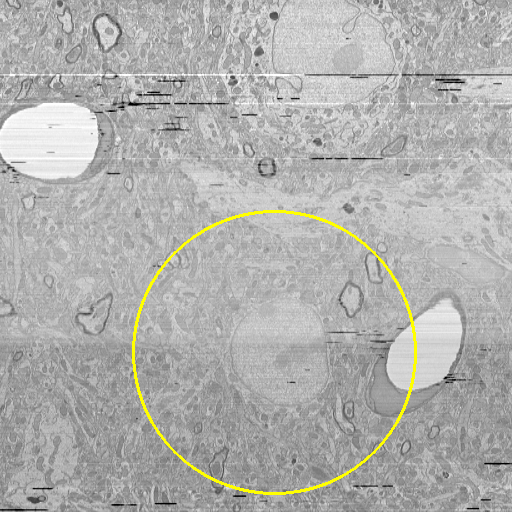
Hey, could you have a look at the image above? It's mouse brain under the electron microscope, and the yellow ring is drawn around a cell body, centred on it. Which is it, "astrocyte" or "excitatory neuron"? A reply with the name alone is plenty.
astrocyte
